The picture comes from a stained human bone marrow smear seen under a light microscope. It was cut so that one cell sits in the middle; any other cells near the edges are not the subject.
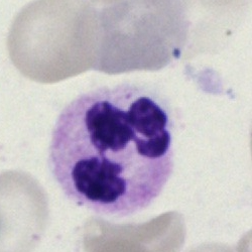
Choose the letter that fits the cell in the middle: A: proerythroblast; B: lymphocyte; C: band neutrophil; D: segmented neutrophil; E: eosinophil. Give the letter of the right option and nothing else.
D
